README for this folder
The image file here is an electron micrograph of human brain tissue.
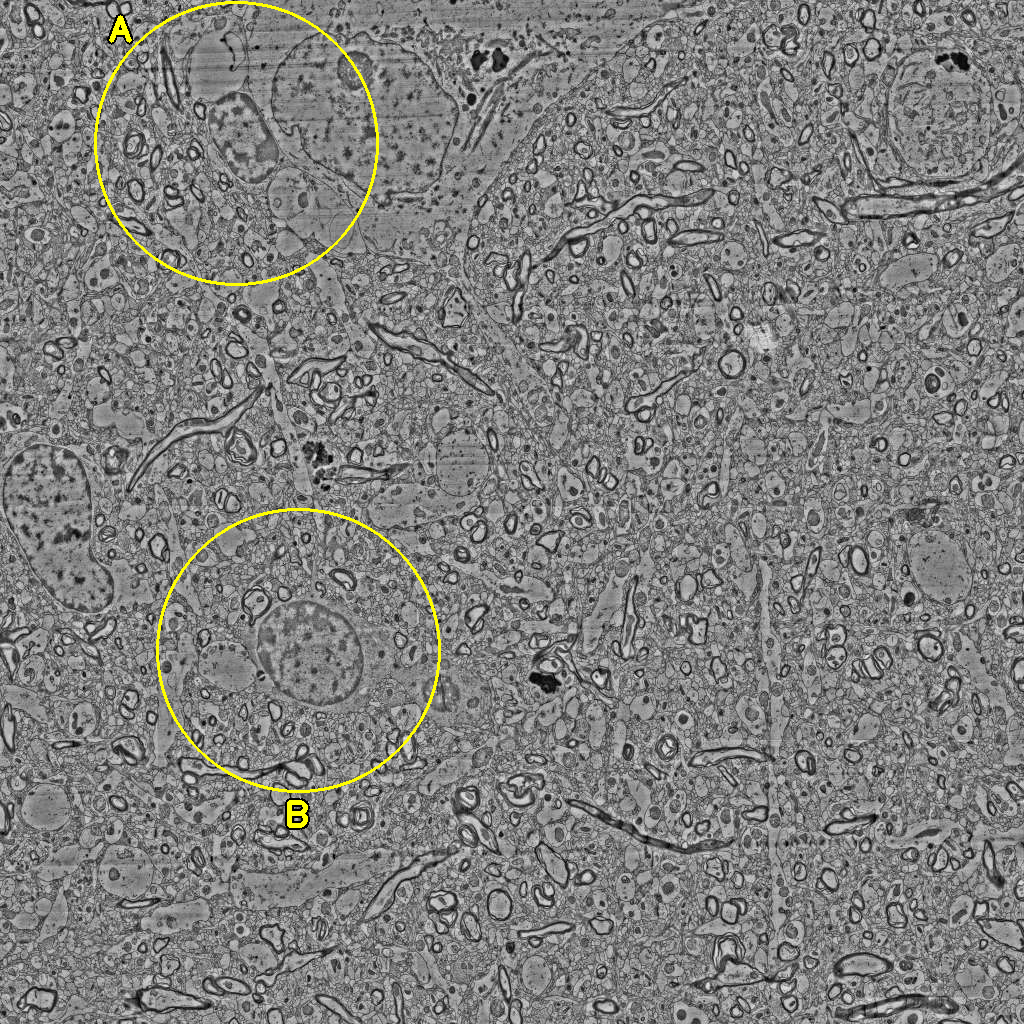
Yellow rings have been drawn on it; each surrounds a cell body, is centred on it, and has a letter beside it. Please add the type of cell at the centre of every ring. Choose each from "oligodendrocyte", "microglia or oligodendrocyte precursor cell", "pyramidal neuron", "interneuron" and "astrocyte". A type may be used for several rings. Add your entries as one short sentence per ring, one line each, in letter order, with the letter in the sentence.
Ring A marks the cell body of a microglial cell or oligodendrocyte precursor cell.
Ring B marks the cell body of an oligodendrocyte.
